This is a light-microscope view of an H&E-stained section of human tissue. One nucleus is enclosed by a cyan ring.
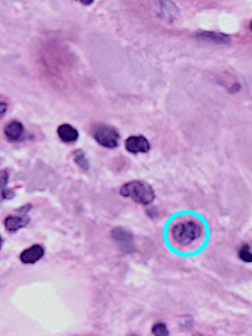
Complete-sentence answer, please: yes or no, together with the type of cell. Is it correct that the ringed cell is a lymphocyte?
No, write a mast cell for the ringed cell rather than a lymphocyte.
